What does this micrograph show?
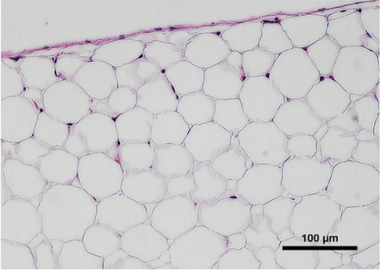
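This is a section of adipose tissue made of closely packed, large, clear cells of polygonal to rounded outline, each bounded by only a very thin pink rim. Small, flattened, dark purple nuclei are squeezed against the edges of some cells, and a thin pink layer lines the upper edge of the tissue. These are mature white fat cells, each with one large droplet.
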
